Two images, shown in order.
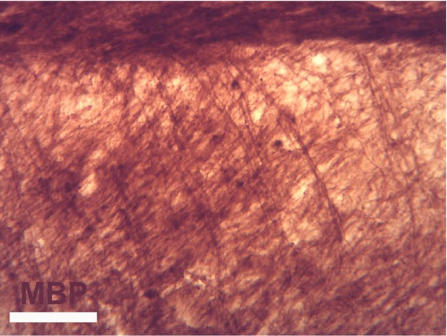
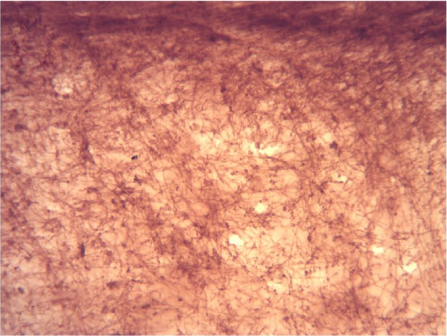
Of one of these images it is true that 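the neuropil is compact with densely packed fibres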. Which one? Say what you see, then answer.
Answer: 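Second image: pale open spaces with sparse, scattered brown fibres. First image: a dense brown network of fibres with few pale gaps. That points to this answer: the first image.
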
